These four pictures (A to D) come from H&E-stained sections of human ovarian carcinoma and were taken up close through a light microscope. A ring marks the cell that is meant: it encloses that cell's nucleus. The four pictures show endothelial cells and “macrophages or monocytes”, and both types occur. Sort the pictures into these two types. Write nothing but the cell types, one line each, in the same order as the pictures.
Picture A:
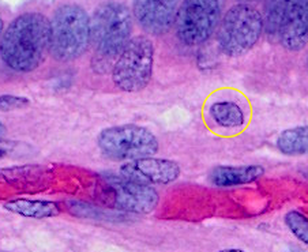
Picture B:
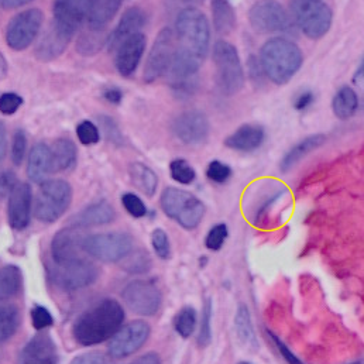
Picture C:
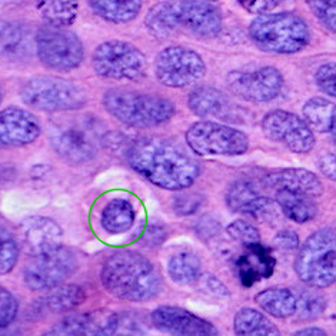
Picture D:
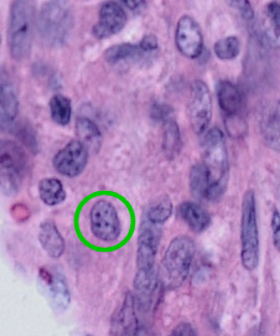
macrophage or monocyte
endothelial cell
macrophage or monocyte
macrophage or monocyte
